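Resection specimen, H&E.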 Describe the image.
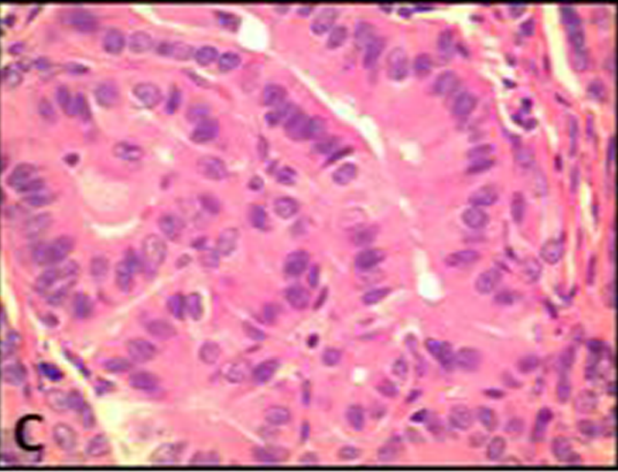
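Tumour epithelium is seen in nests and glandular formations around small lumens, separated by thin pink stromal strands. The cells have abundant pink cytoplasm and are columnar, clearly taller than wide.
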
